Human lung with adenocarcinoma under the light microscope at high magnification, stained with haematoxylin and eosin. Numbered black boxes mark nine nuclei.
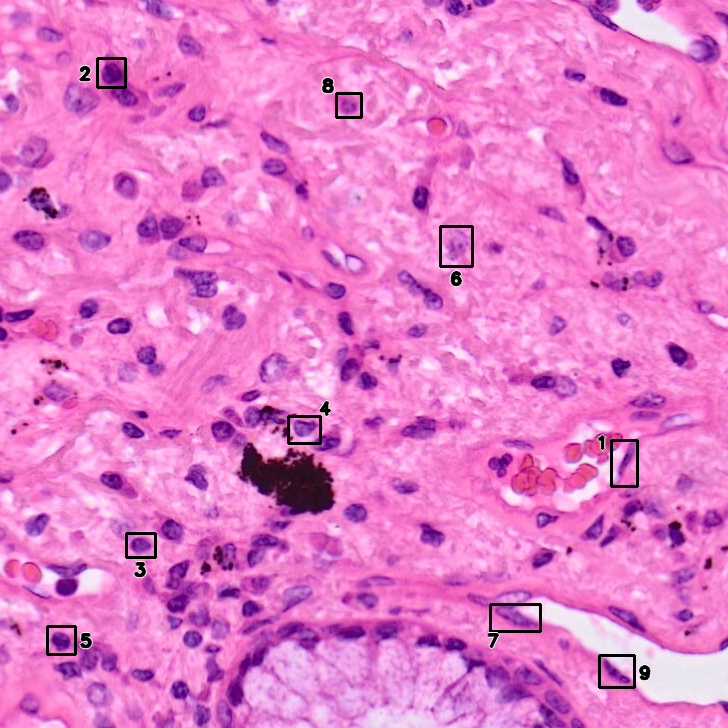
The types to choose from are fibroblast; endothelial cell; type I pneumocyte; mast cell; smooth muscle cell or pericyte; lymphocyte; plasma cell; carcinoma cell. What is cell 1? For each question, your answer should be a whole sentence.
The cell that goes by number 1 is an endothelial cell.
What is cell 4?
The cell carrying label 4 is identified as a lymphocyte.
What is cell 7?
The label 7 in this section denotes an endothelial cell.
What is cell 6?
The nucleus marked 6 is the nucleus of a fibroblast.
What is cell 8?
The nucleus labelled 8 belongs to a mast cell.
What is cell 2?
Recognised here as a plasma cell is the cell numbered 2.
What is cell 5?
Looking at the numbered marks, cell 5 is a lymphocyte.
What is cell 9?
As for number 9, that cell is an endothelial cell.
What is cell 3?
The numbered cell 3 in this field is a lymphocyte.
